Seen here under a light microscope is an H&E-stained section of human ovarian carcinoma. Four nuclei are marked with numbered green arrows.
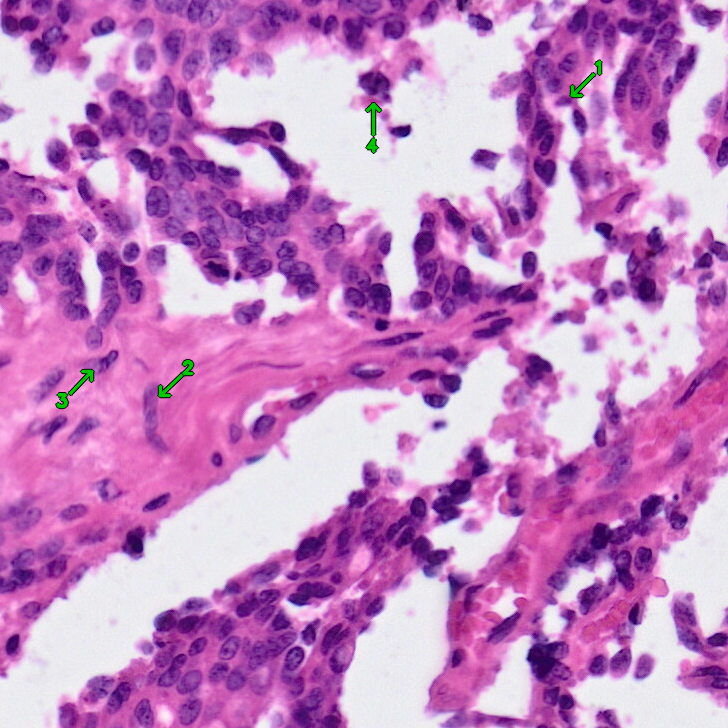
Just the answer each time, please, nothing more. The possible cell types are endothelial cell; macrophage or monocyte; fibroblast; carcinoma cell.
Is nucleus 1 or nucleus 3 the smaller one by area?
1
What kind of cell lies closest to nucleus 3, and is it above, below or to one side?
a carcinoma cell; above nucleus 3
